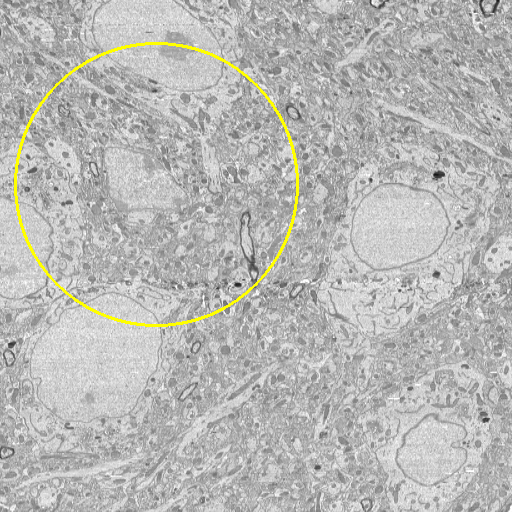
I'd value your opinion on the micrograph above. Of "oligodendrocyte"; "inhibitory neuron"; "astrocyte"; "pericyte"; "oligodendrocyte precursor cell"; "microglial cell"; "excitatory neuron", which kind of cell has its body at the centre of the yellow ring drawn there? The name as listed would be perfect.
oligodendrocyte precursor cell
